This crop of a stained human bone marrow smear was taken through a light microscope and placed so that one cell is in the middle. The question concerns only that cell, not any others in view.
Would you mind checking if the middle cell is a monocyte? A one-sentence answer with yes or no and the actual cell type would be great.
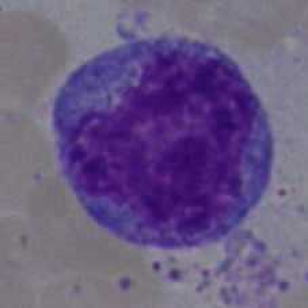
Yes, a monocyte is what the central cell is.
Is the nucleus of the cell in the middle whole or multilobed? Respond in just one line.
Please observe that the nucleus consists of one compact round, oval or kidney-shaped mass.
